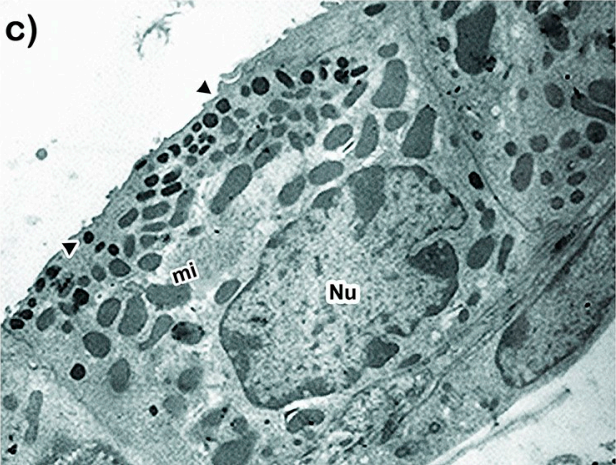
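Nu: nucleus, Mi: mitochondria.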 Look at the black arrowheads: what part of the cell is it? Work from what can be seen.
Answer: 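A band of small dark round granules lines the apical surface under the arrowheads. That points to this answer: electron dense granules.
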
